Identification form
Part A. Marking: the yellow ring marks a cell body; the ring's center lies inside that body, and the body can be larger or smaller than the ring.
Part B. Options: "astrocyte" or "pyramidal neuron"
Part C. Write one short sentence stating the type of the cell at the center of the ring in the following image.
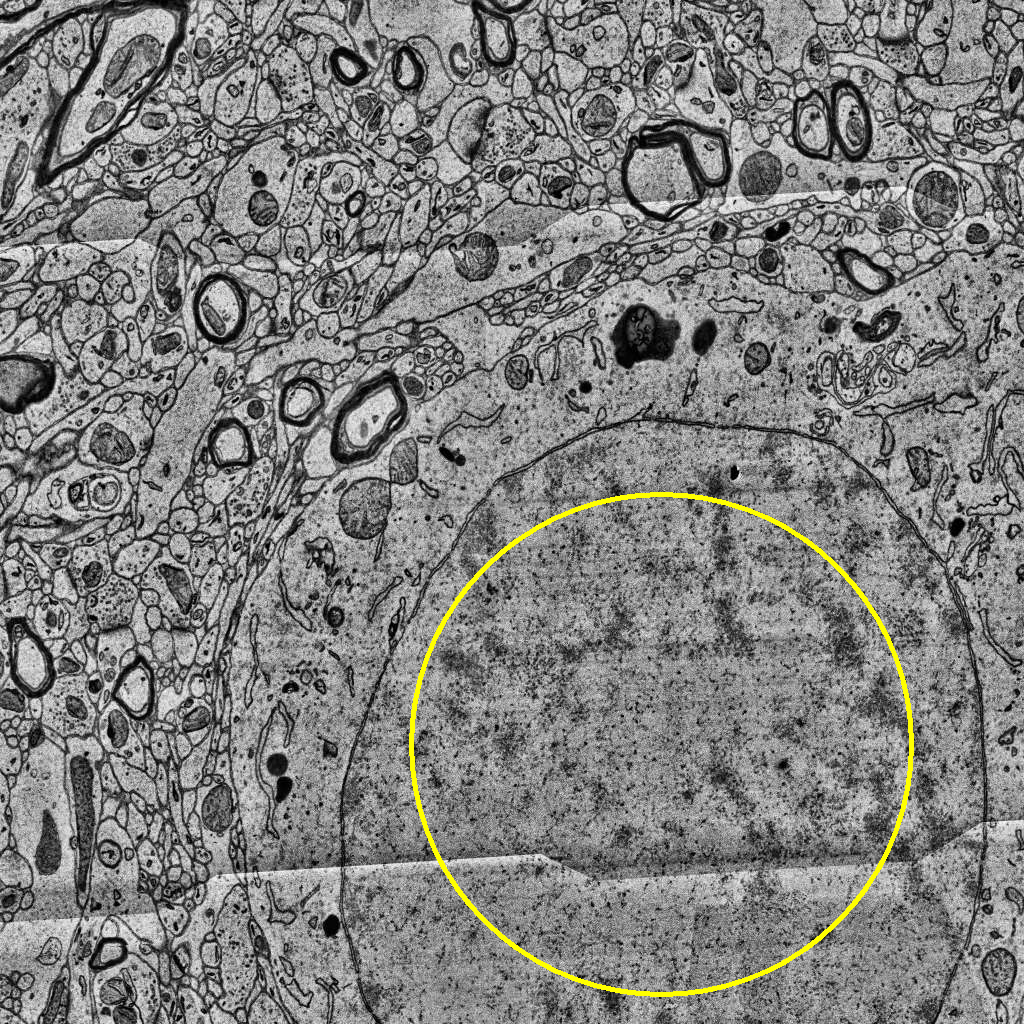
The center of the ring holds a pyramidal neuron.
